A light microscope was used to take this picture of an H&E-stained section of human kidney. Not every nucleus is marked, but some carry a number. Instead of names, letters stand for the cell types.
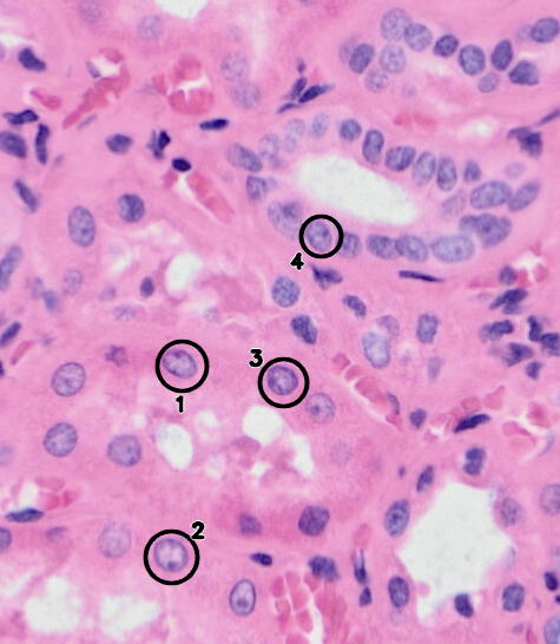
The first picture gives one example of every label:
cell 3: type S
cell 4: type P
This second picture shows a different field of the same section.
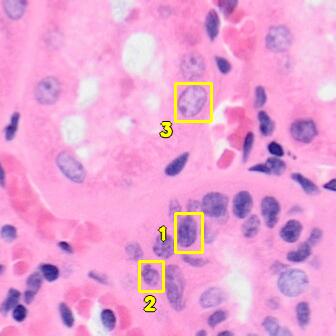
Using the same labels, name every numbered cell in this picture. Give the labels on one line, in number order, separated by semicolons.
type P; type P; type S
